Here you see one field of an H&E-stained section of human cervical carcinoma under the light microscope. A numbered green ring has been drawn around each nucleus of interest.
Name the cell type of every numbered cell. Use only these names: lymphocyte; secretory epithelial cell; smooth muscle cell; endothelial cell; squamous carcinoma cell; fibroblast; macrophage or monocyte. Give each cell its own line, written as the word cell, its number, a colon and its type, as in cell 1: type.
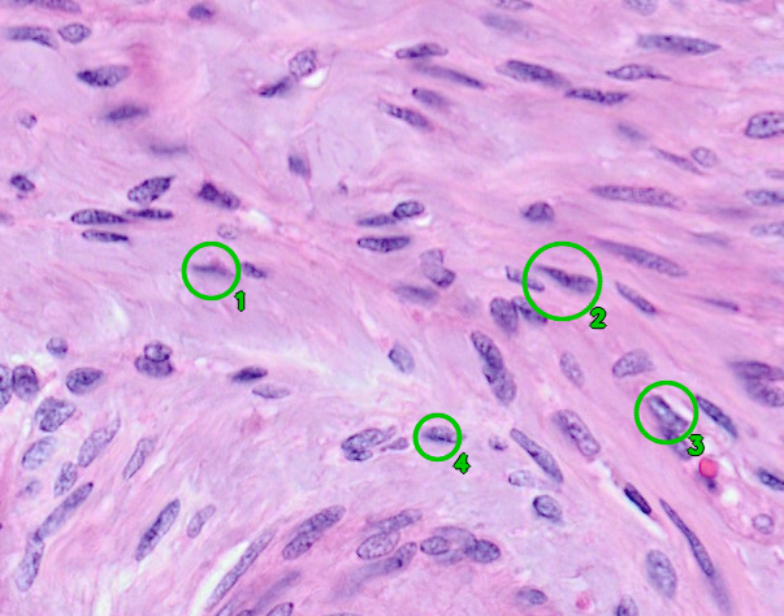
cell 1: fibroblast
cell 2: fibroblast
cell 3: endothelial cell
cell 4: fibroblast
